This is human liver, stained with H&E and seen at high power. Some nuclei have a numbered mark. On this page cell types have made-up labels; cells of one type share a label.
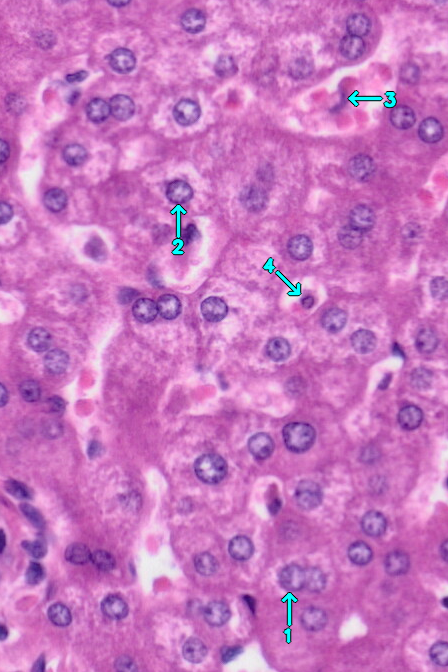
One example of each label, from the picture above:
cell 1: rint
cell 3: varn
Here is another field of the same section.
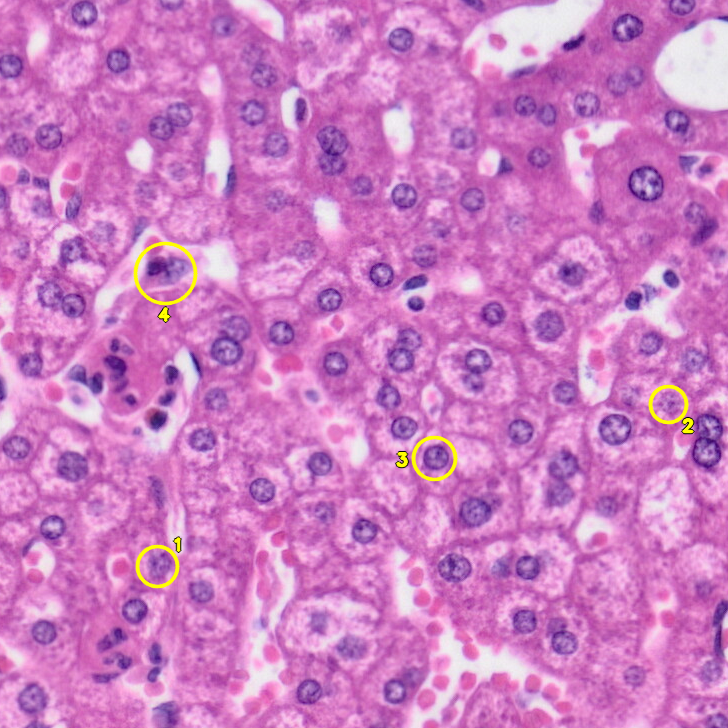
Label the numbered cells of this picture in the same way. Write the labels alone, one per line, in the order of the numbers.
rint
rint
rint
varn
